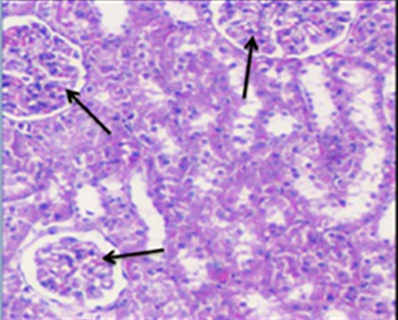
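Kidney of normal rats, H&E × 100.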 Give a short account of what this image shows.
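Renal cortex with several glomeruli among closely packed tubules. Each glomerulus is a rounded, compact tuft of capillary loops crowded with small purple nuclei, nearly filling its capsule and separated from it by only a thin clear crescent of space. Between the glomeruli lie tubules cut in cross and oblique section, lined by cells with pink cytoplasm and round nuclei around narrow or slit-like lumens. The tissue is densely arranged, with little space between the tubules and no obvious loosening or clumping of the tufts.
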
